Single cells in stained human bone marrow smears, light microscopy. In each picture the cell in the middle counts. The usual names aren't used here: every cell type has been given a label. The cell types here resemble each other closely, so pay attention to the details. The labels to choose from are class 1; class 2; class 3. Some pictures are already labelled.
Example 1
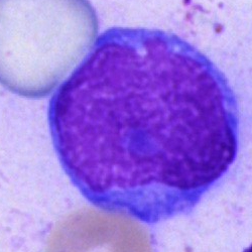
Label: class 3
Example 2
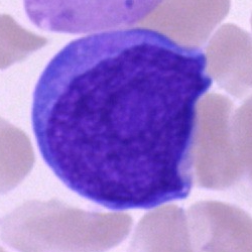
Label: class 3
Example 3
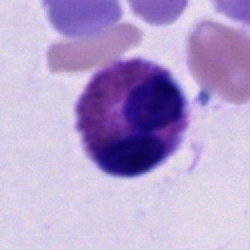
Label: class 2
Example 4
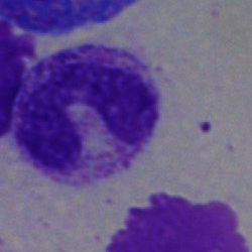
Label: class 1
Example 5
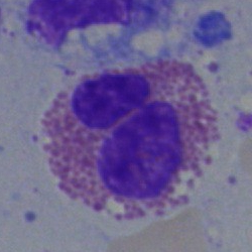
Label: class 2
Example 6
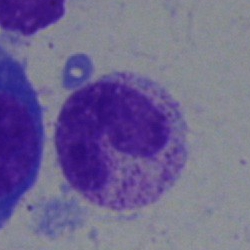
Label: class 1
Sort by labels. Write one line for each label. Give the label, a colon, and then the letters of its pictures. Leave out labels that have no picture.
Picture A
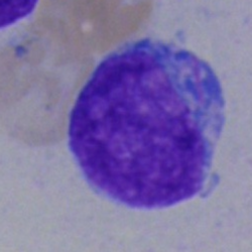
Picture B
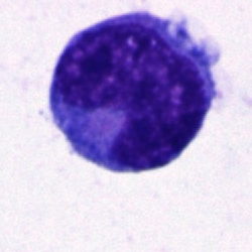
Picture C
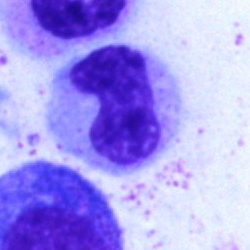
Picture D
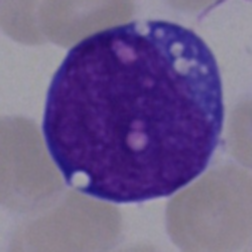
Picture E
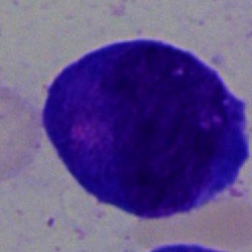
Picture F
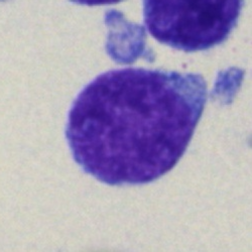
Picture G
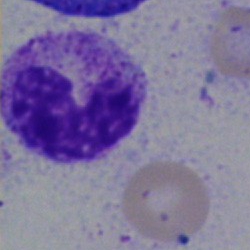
class 1: C, G
class 3: A, B, D, E, F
